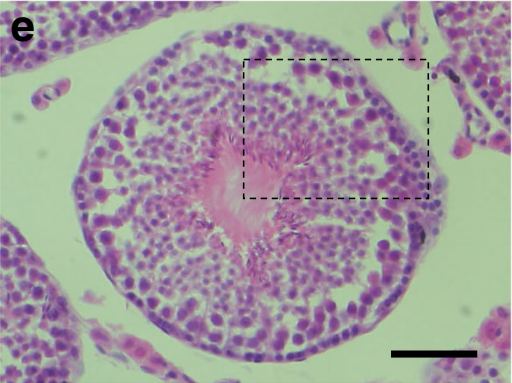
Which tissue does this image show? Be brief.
seminiferous tubules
